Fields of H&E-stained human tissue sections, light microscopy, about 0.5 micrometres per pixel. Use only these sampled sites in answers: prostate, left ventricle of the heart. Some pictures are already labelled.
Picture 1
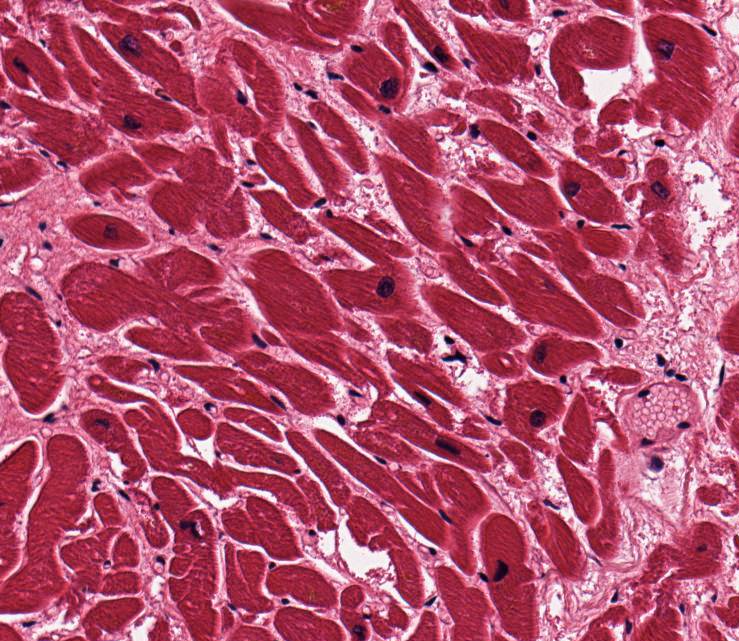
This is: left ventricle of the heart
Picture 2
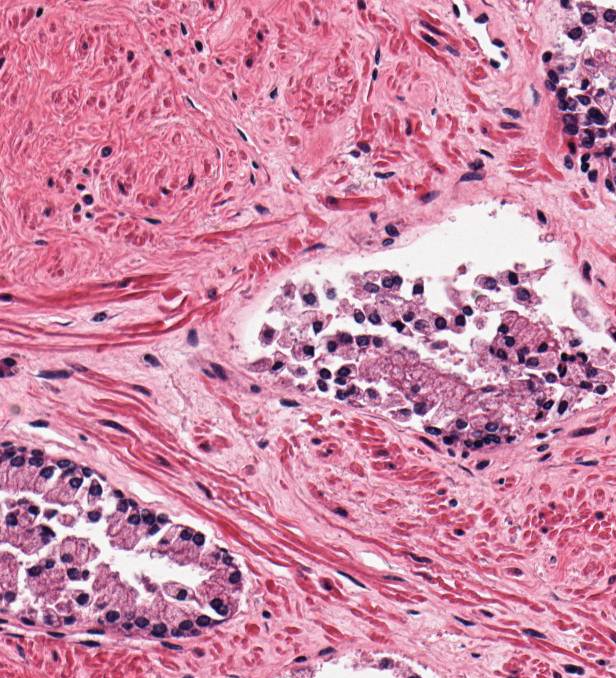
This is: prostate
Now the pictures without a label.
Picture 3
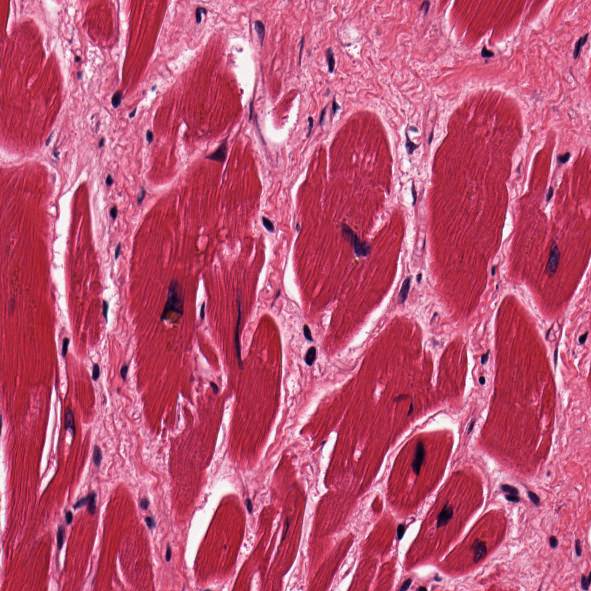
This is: left ventricle of the heart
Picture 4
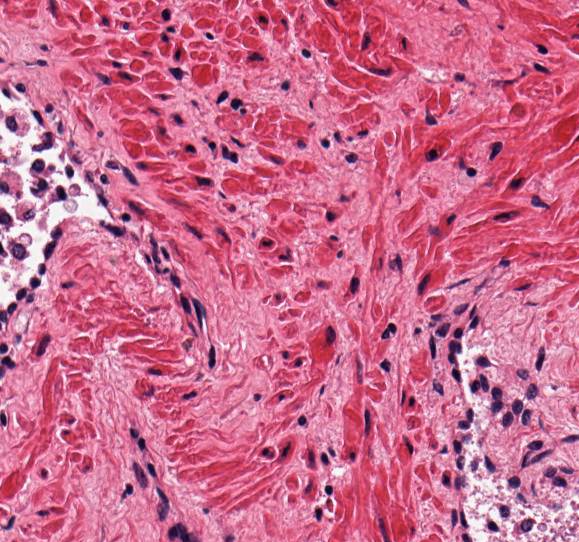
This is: prostate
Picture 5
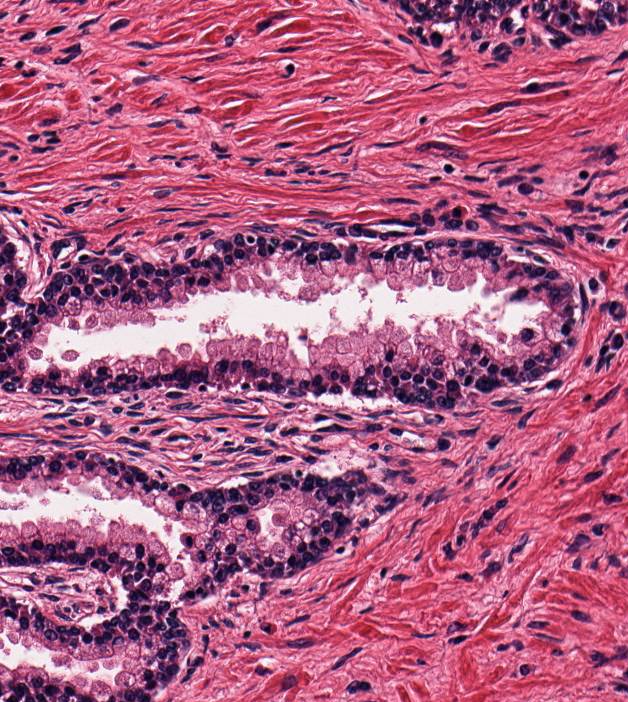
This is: prostate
